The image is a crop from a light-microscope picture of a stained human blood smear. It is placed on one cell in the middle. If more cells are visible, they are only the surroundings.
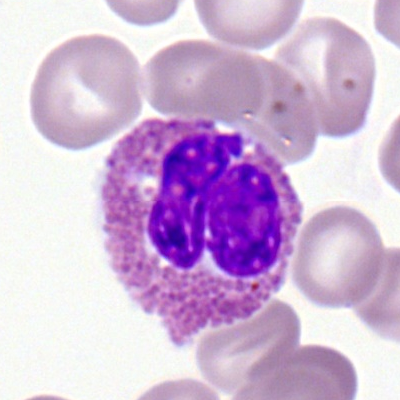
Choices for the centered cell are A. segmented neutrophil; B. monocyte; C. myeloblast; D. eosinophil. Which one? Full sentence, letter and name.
As the central cell is an eosinophil, option D is correct.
